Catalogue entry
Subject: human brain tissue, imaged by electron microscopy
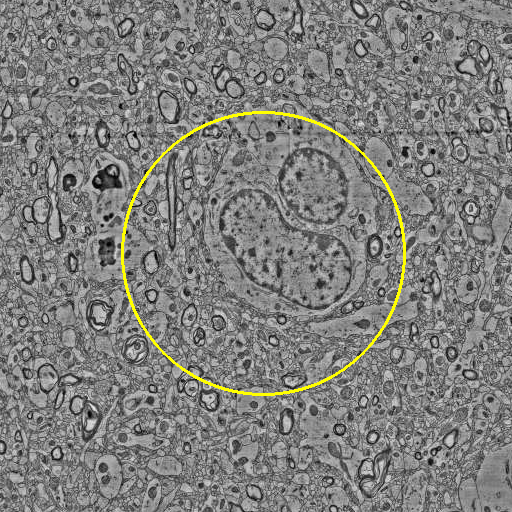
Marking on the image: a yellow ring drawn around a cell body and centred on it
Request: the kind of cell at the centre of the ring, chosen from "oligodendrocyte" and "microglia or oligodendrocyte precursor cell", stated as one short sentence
The ring has a microglial cell or oligodendrocyte precursor cell at its centre.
